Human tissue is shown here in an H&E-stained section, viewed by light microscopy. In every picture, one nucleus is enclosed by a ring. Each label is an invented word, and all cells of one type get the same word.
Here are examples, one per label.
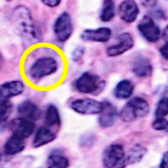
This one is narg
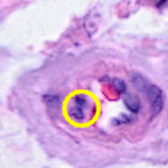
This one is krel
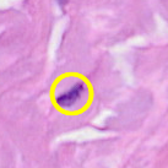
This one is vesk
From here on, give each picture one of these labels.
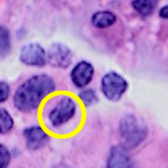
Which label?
narg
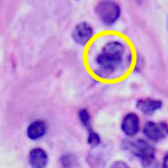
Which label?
narg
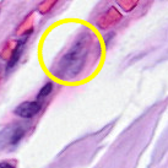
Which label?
krel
